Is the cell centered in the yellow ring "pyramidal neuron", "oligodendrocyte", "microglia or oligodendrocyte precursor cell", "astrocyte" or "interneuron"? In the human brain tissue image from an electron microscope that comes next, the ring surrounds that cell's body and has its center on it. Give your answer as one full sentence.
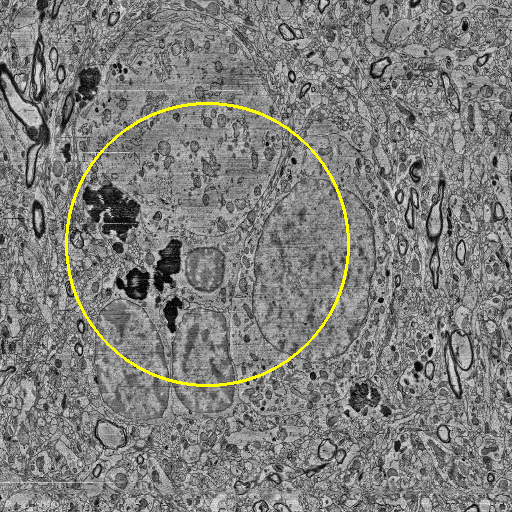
The cell at the center of the yellow ring is an oligodendrocyte in the micrograph.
